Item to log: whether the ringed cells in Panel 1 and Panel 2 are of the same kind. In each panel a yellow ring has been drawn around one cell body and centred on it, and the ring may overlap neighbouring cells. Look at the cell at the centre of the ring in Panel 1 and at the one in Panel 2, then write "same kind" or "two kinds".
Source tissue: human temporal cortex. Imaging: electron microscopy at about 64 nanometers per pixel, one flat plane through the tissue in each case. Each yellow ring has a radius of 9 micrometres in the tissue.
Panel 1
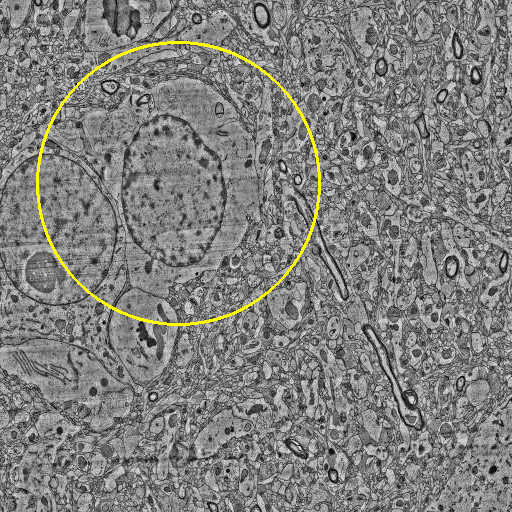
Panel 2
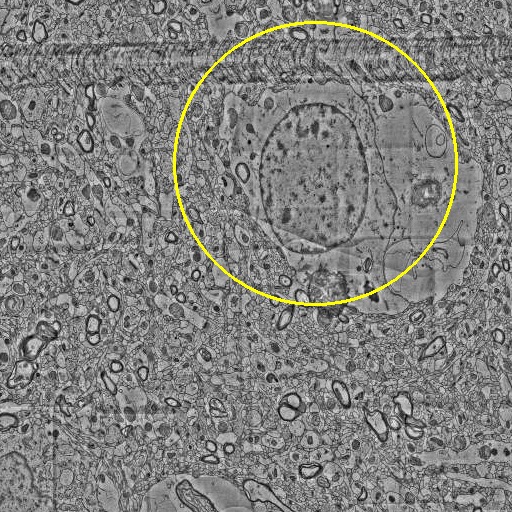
same kind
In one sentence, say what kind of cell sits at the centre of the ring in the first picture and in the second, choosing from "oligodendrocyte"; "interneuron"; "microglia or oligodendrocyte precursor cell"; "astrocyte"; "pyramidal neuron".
The ring centre holds an astrocyte in each of the two pictures.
